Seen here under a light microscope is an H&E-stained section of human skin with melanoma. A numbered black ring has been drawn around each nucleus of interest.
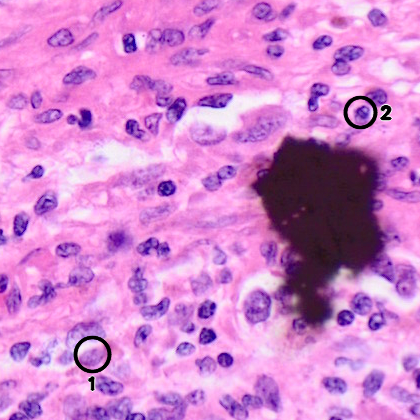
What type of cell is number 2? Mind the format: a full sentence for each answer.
The cell carrying label 2 is identified as a lymphocyte.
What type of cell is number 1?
The cell carrying label 1 is identified as a macrophage or monocyte.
